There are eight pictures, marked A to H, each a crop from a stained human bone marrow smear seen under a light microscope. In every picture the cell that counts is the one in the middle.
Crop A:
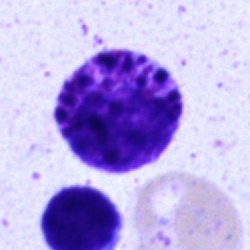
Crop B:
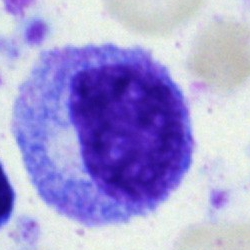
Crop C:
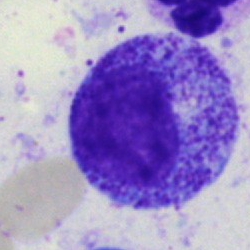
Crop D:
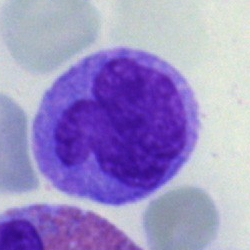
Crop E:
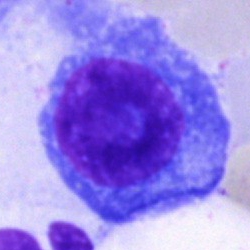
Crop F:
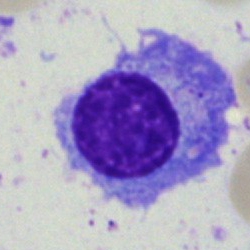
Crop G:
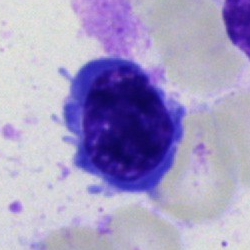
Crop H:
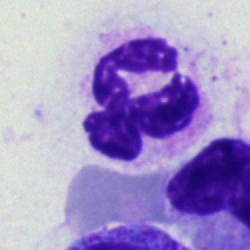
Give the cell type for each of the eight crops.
A: basophil
B: promyelocyte
C: myelocyte
D: monocyte
E: plasma cell
F: plasma cell
G: normoblast
H: segmented neutrophil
